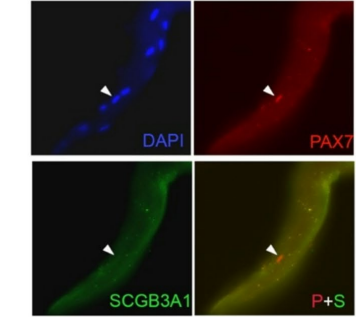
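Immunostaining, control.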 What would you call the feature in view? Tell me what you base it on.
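Single muscle fibers. One long, unbranched, band-like structure runs diagonally across each image. Many elongated nuclei lie along its length.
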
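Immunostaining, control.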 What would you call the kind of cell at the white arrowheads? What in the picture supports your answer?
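That nucleus is lit in the red channel while most other nuclei are not.
Hence: satellite cells.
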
